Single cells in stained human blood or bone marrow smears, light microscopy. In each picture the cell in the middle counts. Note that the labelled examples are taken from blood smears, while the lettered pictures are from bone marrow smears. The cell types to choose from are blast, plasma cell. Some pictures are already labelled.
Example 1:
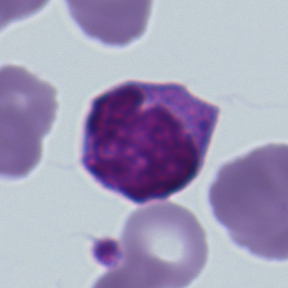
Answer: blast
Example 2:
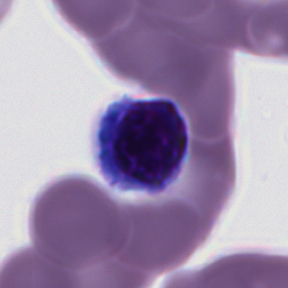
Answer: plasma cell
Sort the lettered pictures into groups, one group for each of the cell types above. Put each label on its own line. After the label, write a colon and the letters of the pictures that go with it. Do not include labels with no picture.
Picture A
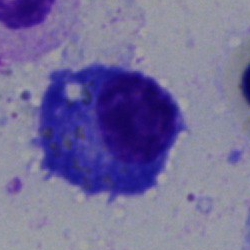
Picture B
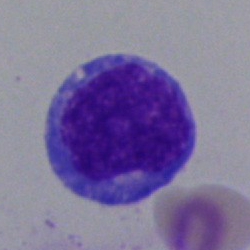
blast: B
plasma cell: A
